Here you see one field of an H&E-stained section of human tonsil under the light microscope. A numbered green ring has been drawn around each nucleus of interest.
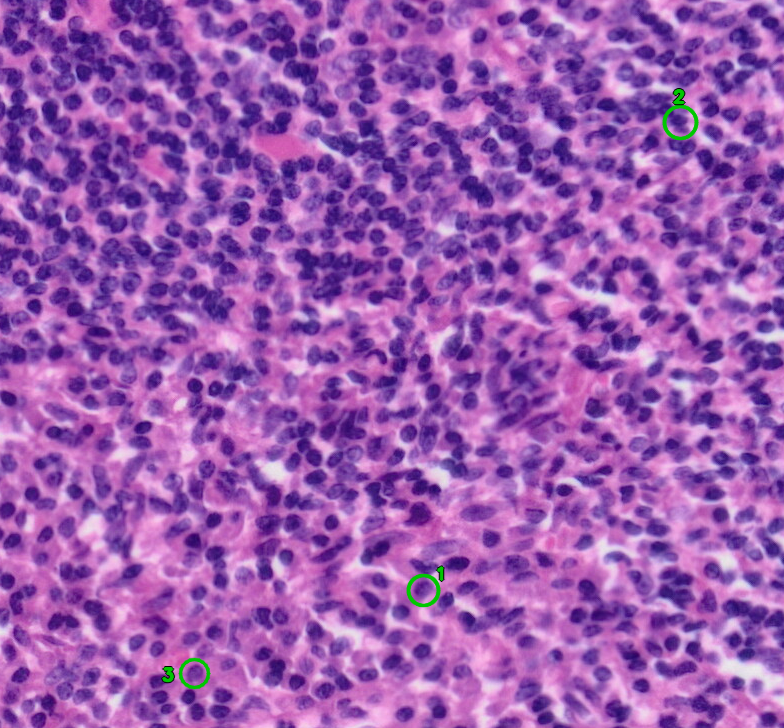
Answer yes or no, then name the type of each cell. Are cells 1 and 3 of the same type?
Yes, that is right: cells 1 and 3 are both plasma cells.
